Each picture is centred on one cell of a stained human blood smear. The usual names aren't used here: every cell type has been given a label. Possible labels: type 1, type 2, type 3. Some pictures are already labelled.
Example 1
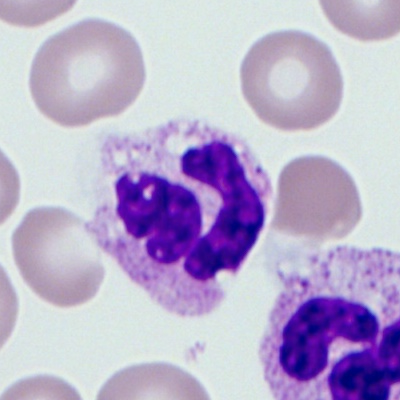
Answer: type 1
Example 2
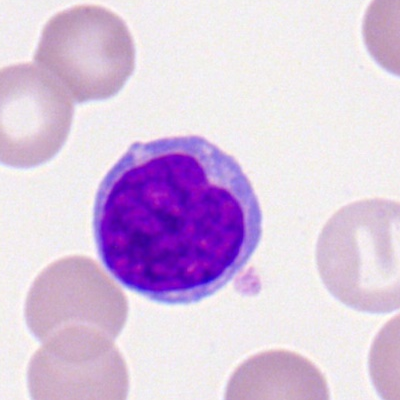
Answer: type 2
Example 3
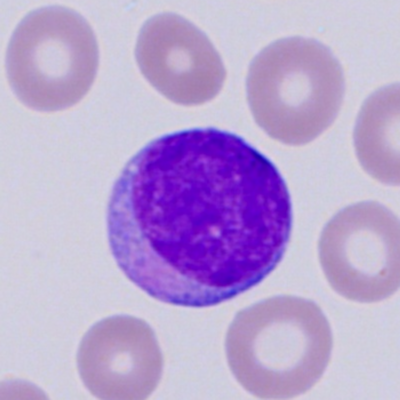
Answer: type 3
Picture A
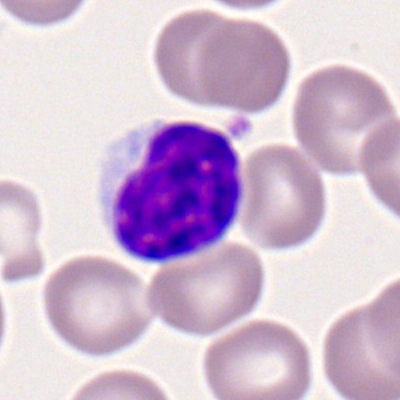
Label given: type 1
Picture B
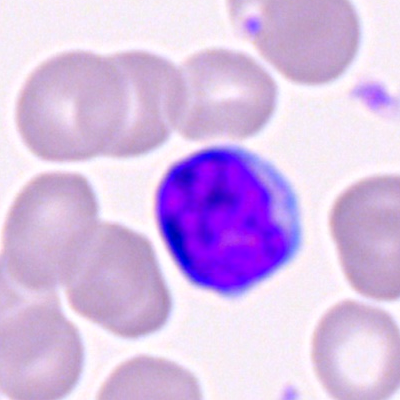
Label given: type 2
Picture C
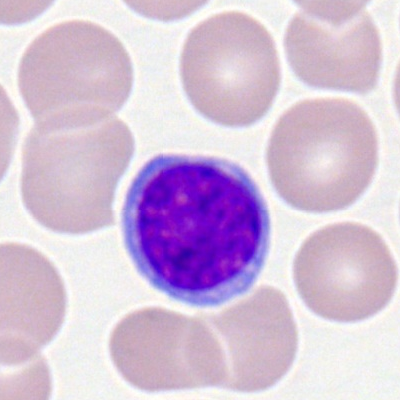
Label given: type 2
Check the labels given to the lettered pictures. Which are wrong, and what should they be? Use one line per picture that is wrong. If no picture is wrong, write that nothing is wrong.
A: not type 1 but type 2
